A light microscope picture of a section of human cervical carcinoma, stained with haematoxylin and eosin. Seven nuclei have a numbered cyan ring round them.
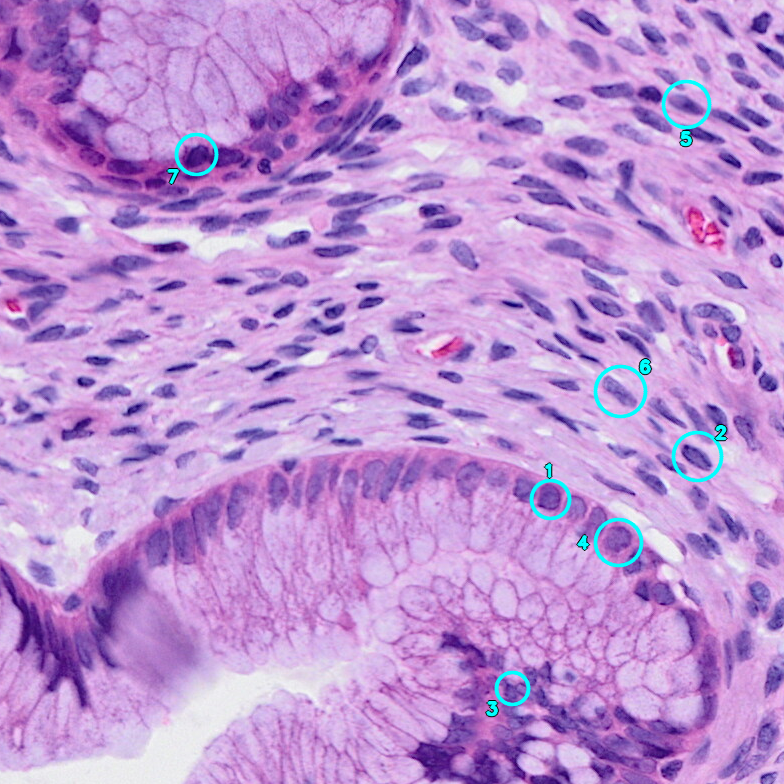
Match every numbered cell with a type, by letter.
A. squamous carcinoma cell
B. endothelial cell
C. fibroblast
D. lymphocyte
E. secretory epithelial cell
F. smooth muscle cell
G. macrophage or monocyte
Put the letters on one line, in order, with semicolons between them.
E; C; E; E; C; C; E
